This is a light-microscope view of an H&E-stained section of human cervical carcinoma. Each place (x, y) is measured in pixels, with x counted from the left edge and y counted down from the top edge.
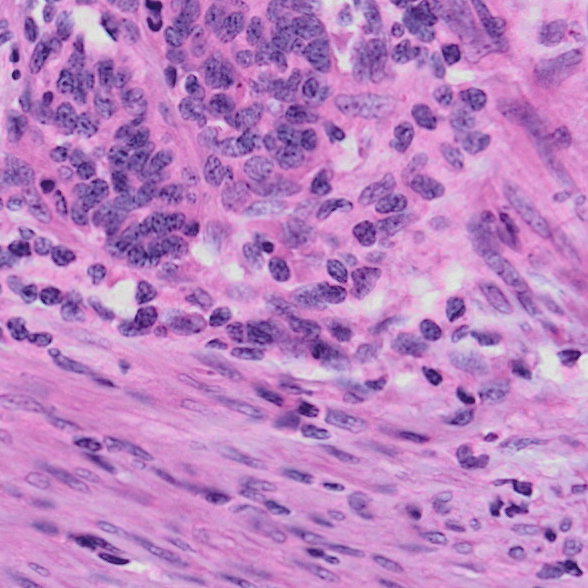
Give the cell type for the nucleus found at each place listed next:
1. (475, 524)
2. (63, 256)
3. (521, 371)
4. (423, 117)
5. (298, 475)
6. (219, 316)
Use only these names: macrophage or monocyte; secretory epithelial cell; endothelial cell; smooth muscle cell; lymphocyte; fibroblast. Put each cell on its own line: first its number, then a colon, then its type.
1: smooth muscle cell
2: lymphocyte
3: lymphocyte
4: lymphocyte
5: fibroblast
6: lymphocyte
